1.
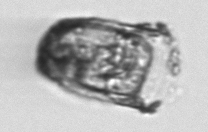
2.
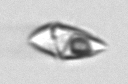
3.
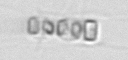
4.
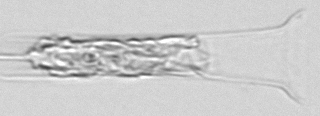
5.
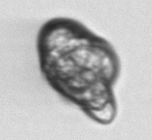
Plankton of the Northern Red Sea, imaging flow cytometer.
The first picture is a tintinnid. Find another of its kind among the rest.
Picture 4.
